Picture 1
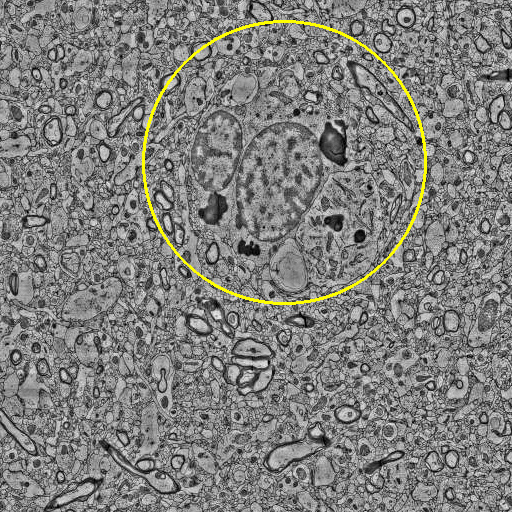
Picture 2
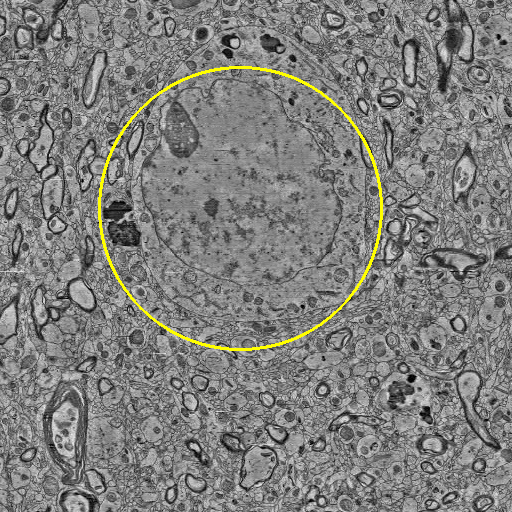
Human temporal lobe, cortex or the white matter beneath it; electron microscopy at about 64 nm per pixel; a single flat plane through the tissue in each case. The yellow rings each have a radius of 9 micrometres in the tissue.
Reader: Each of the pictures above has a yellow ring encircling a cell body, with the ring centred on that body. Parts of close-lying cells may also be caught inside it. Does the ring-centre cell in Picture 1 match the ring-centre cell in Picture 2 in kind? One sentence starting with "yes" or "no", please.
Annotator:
No, Picture 1 and Picture 2 show ring-centre cells of two kinds.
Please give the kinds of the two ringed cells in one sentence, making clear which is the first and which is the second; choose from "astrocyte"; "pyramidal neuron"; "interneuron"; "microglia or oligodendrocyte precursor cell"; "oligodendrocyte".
In the second picture the ringed cell is a pyramidal neuron; in the first it is an oligodendrocyte.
